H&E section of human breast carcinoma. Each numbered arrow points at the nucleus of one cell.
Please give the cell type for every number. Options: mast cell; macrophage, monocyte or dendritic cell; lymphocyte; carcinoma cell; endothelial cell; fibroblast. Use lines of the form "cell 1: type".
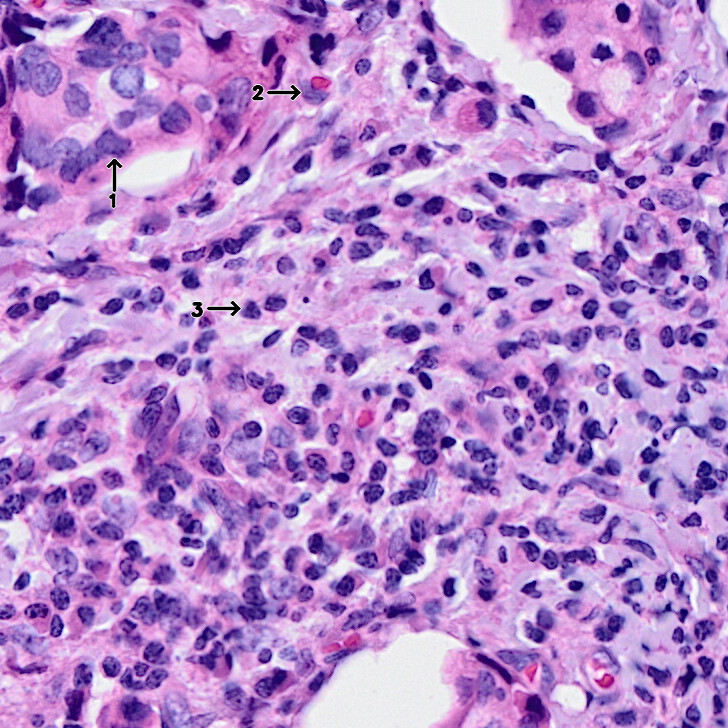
cell 1: carcinoma cell
cell 2: endothelial cell
cell 3: lymphocyte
